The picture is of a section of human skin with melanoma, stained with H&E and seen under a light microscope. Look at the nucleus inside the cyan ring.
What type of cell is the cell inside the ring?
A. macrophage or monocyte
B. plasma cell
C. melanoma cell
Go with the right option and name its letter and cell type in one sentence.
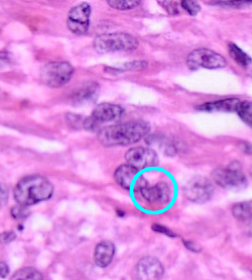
Exactly as option C gives it, the cell inside the ring is a melanoma cell.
